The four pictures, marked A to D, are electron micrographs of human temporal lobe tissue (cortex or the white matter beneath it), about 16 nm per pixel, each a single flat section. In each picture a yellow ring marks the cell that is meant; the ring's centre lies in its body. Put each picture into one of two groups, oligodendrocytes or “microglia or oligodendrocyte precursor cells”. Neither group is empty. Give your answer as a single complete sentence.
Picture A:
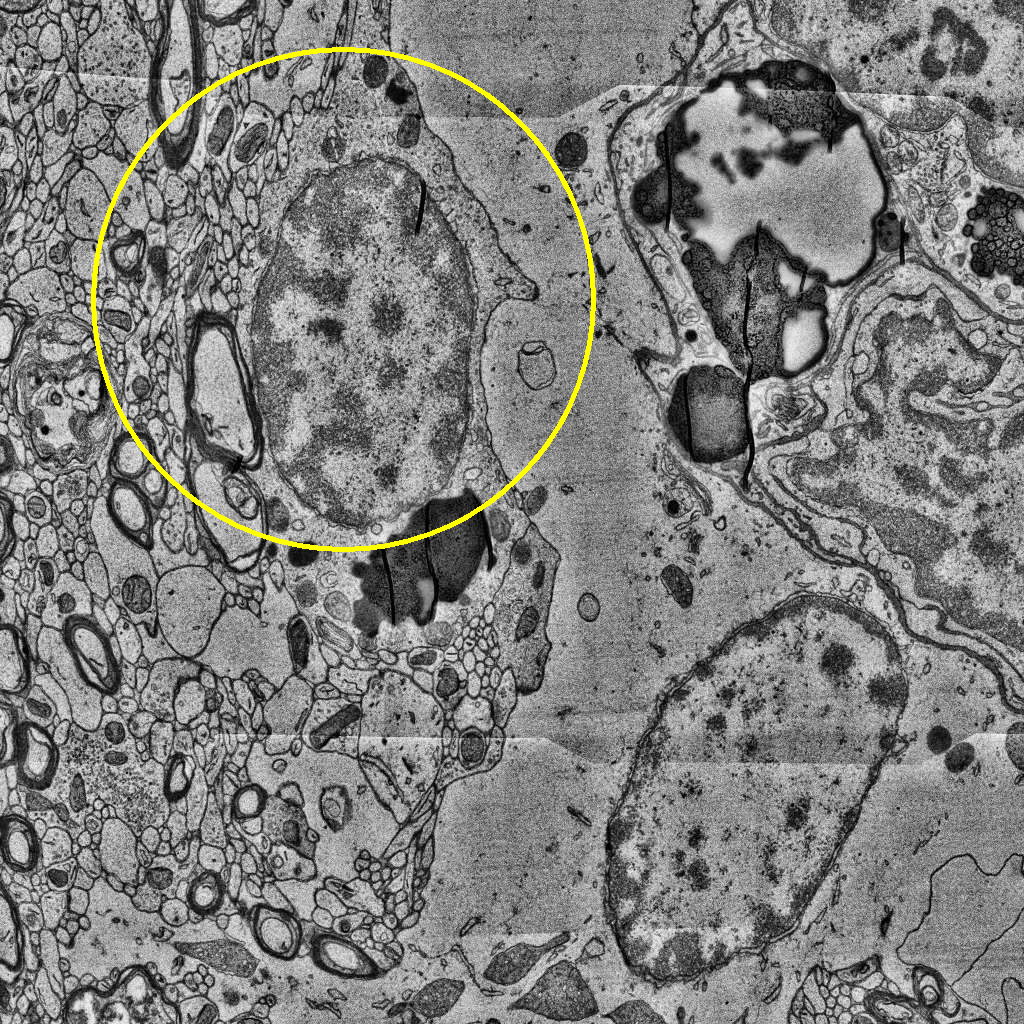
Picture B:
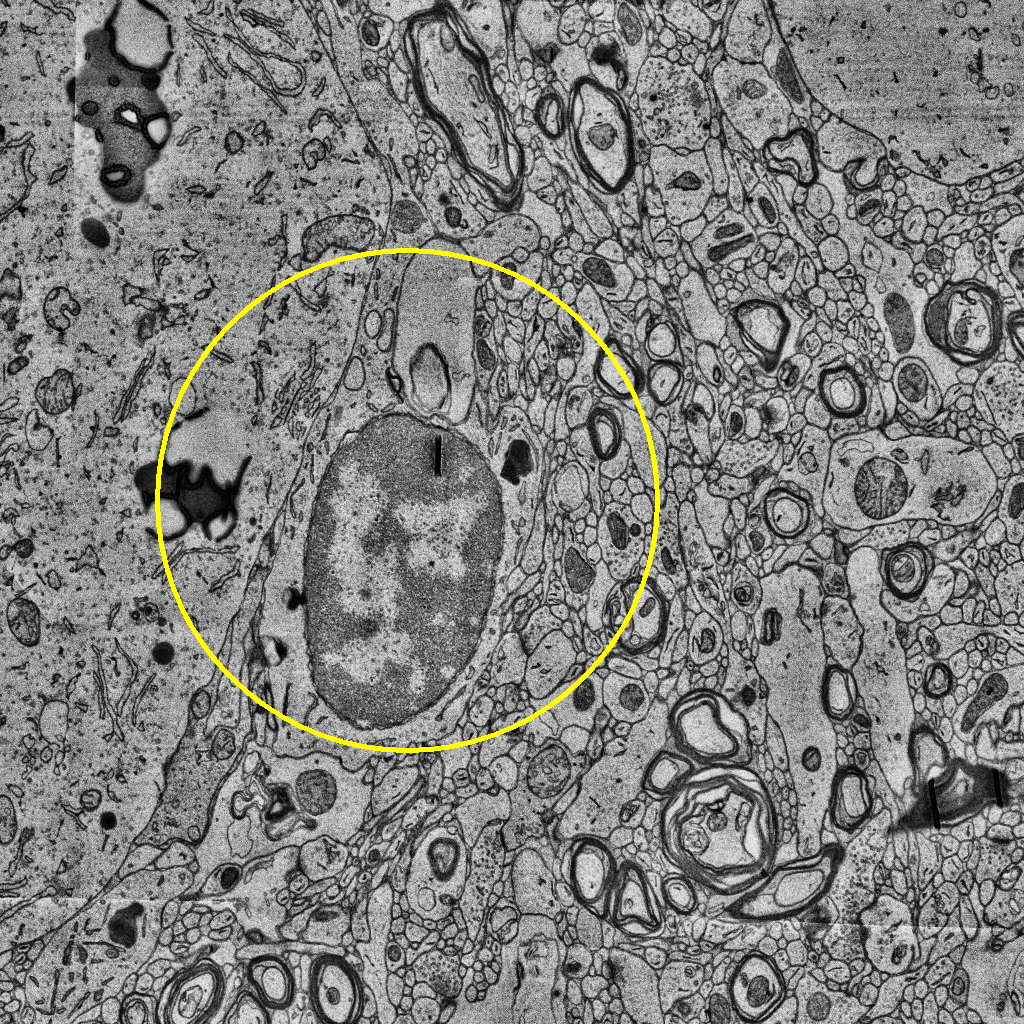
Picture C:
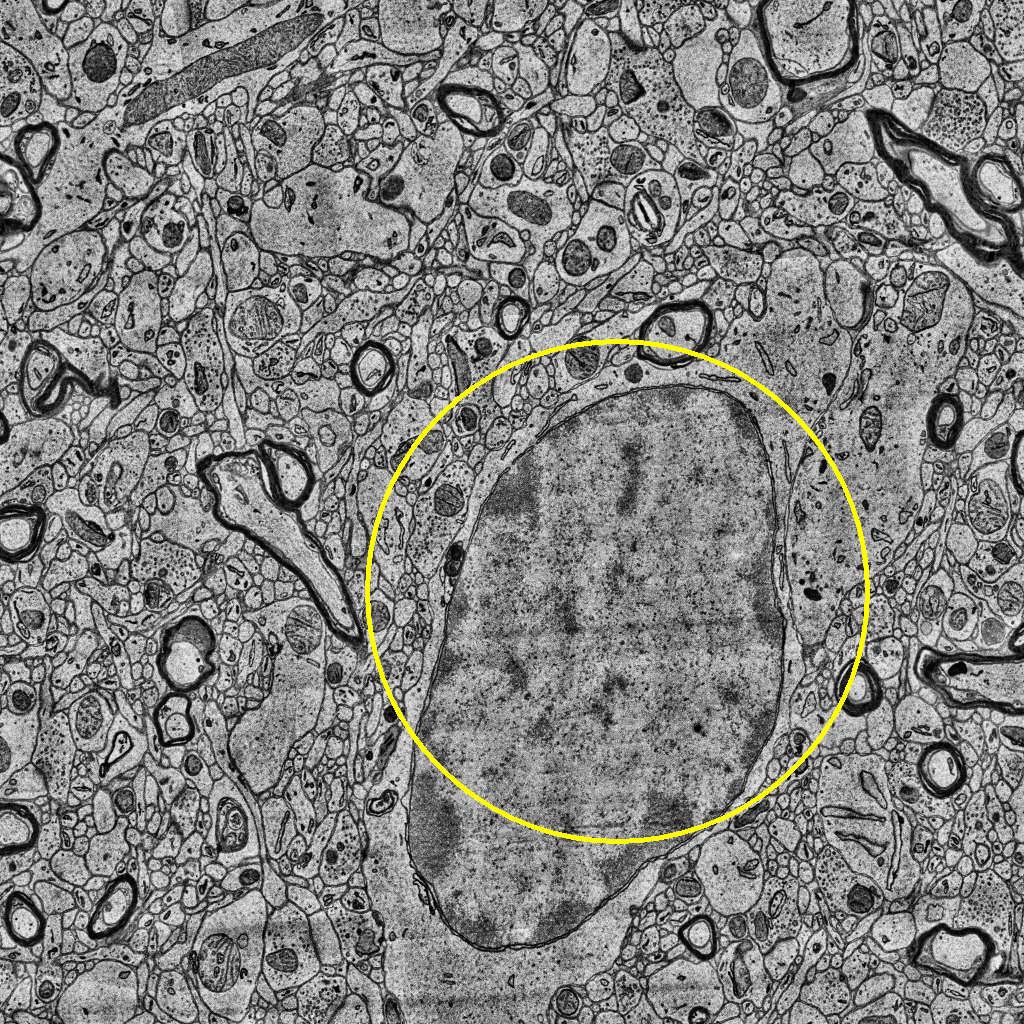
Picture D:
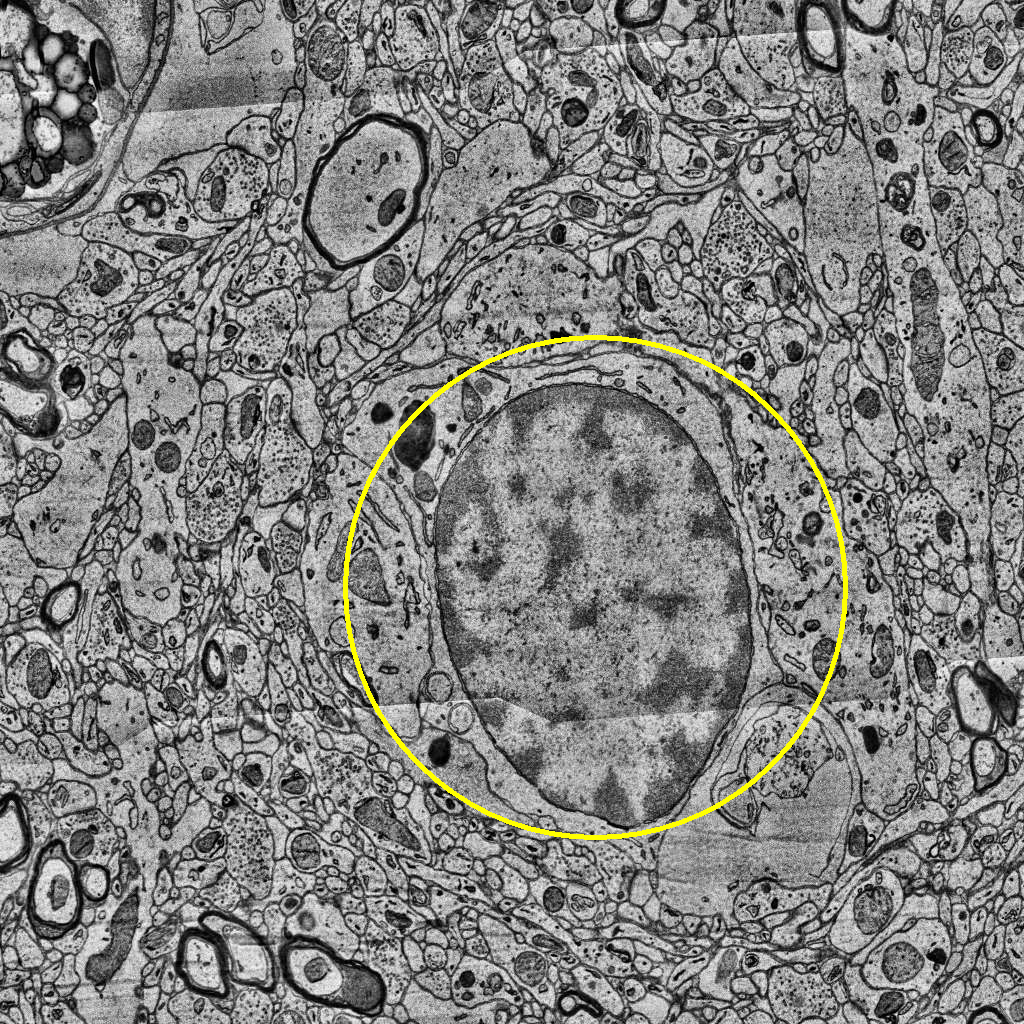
Picture A shows an oligodendrocyte; pictures B, C and D show “microglia or oligodendrocyte precursor cells”.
